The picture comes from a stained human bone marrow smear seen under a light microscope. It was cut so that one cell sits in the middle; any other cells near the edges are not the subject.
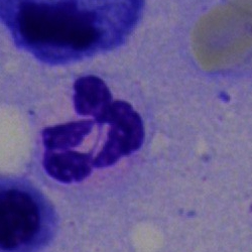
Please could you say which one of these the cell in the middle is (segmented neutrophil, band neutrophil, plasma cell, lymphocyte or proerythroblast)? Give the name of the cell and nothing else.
segmented neutrophil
